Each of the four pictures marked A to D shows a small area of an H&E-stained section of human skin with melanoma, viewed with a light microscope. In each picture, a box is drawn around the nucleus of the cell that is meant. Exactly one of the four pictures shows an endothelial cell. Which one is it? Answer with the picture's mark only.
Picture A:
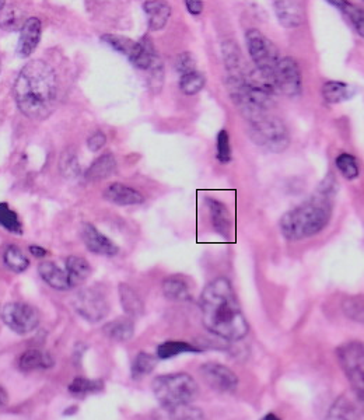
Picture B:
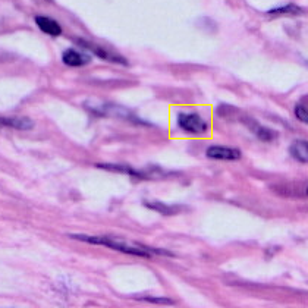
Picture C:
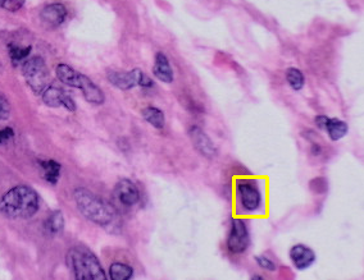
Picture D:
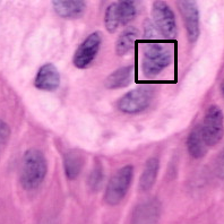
D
